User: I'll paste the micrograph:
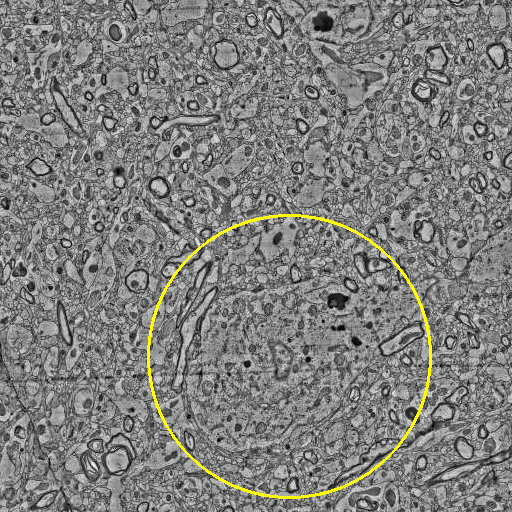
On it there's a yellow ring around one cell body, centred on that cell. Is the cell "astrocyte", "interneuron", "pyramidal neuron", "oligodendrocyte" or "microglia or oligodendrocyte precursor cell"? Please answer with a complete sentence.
The cell ringed in yellow is a pyramidal neuron.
